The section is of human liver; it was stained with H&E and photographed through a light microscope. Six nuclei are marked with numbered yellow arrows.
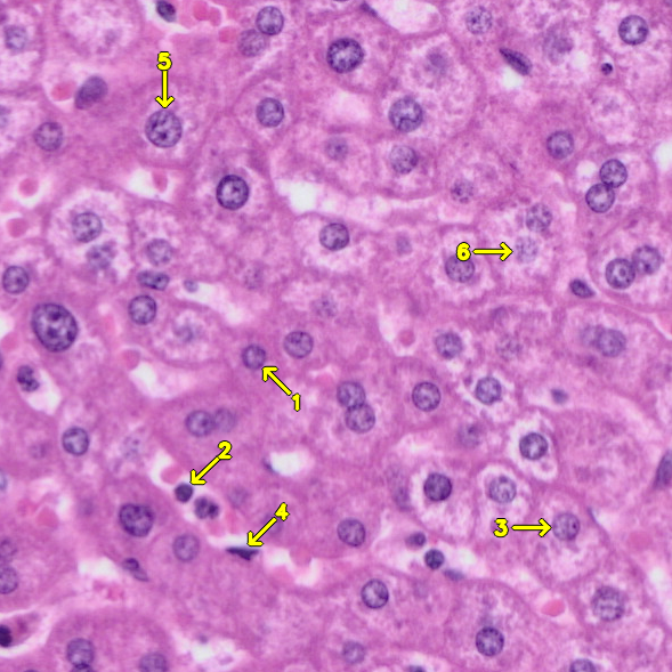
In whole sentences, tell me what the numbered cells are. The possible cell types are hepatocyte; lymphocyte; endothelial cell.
Cells 1, 3, 5 and 6 are hepatocytes. Cell 2 is a lymphocyte. Cell 4 is an endothelial cell.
